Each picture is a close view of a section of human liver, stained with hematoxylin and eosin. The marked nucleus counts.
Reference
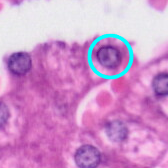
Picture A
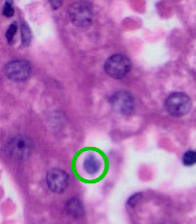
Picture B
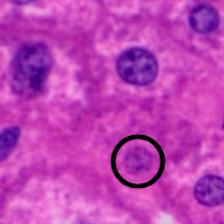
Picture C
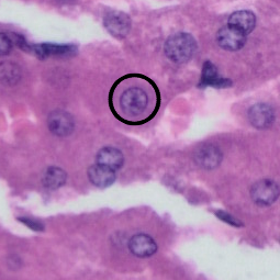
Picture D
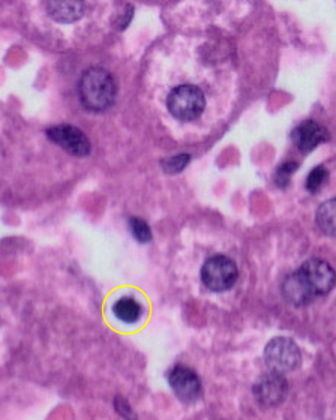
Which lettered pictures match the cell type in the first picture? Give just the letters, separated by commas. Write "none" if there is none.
B, C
